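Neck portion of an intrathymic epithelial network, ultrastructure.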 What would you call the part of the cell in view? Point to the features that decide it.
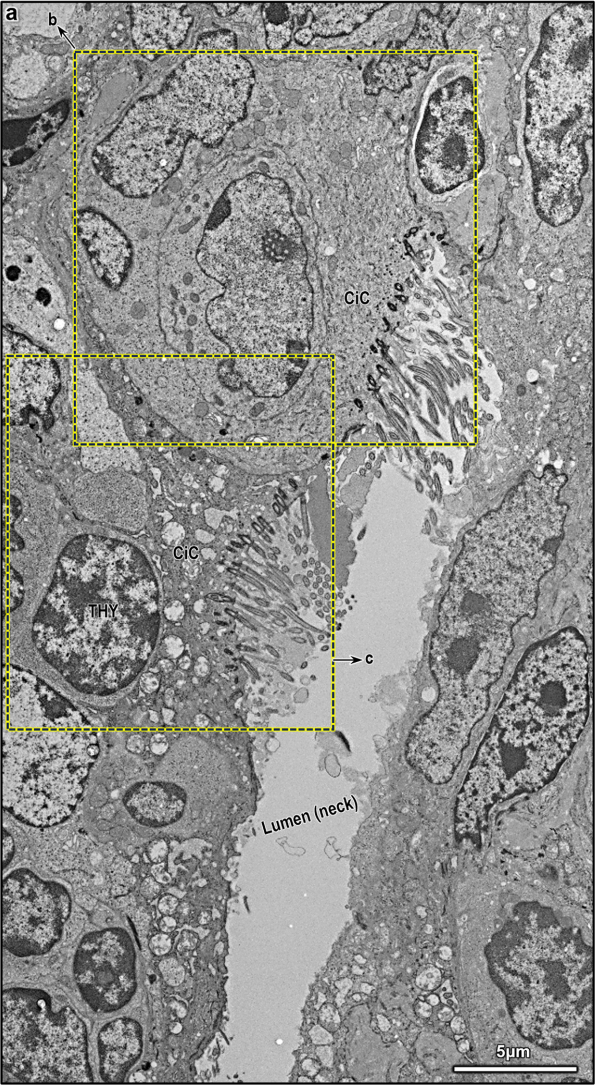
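Many slender, elongated projections extend from the cell surface into the open lumen. The projections are seen in both longitudinal and cross section. Dark basal granules line up at the luminal surface at the base of the projections. On this evidence: multiple cilia.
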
